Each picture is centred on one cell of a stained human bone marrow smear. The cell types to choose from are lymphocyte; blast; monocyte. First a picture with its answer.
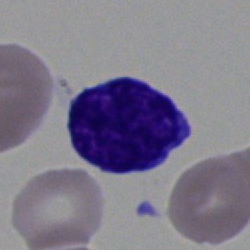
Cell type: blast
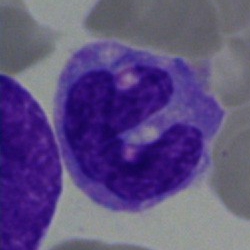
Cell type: monocyte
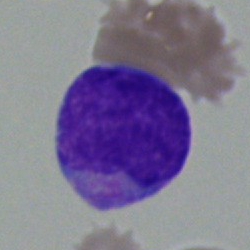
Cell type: blast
